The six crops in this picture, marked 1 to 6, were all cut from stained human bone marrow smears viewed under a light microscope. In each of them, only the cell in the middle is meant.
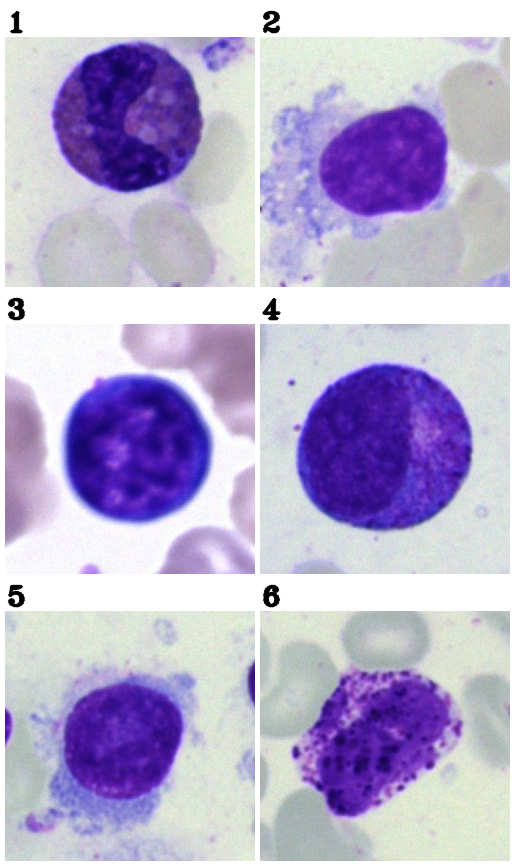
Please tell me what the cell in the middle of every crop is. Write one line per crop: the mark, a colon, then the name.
1: eosinophil
2: hairy cell
3: proerythroblast
4: promyelocyte
5: hairy cell
6: basophil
